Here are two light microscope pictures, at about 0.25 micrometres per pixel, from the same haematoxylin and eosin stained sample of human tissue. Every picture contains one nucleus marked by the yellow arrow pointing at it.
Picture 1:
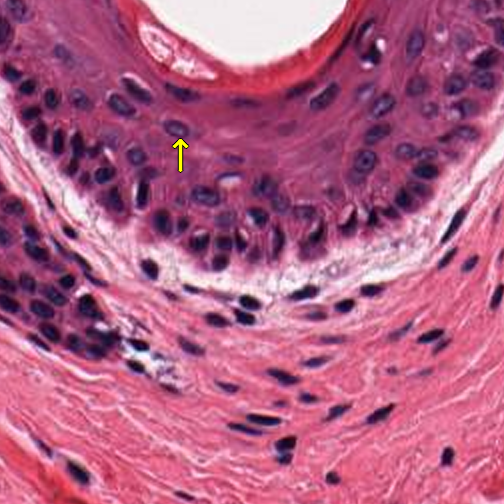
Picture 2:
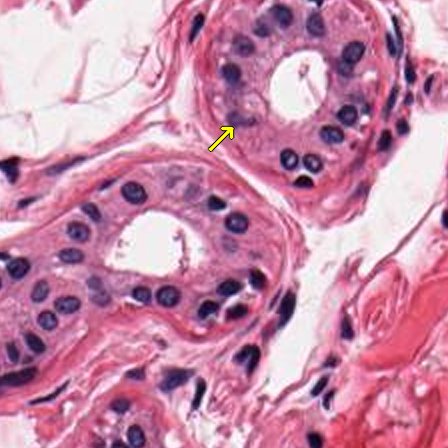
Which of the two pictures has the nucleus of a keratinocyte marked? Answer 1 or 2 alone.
1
